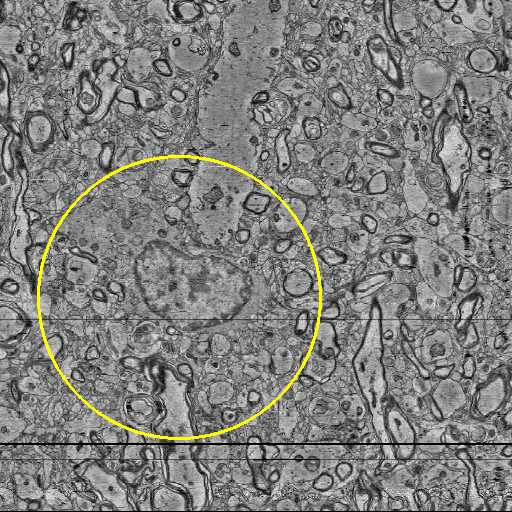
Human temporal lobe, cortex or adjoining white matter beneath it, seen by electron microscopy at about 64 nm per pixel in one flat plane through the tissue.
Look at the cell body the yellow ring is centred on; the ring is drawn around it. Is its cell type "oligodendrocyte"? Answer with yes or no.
Yes, that is its cell type.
